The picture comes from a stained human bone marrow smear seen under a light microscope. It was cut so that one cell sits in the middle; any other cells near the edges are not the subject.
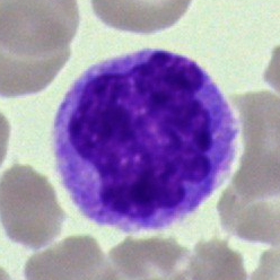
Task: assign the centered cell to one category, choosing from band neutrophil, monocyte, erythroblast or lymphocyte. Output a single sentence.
Present in the middle of the crop is a monocyte.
